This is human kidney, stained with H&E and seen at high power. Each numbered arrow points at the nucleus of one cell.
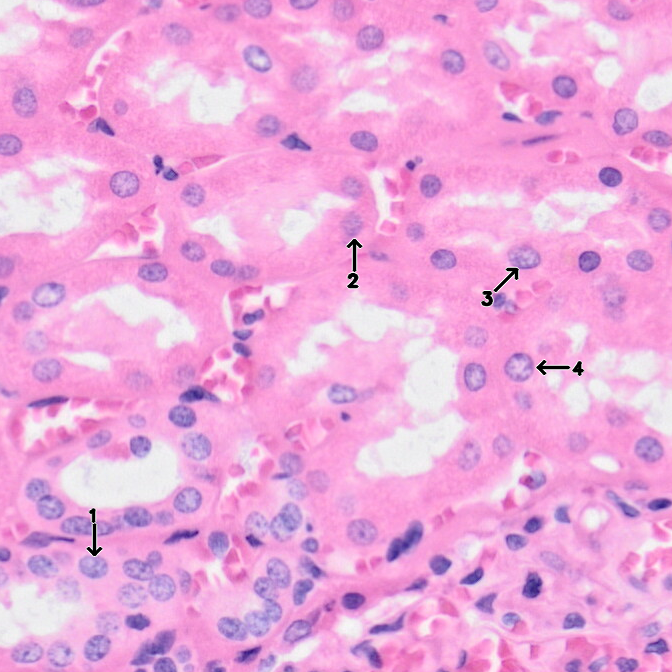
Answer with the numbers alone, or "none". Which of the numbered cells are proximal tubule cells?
2, 3, 4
